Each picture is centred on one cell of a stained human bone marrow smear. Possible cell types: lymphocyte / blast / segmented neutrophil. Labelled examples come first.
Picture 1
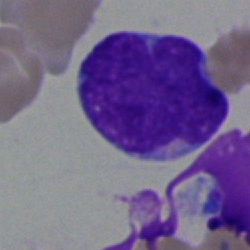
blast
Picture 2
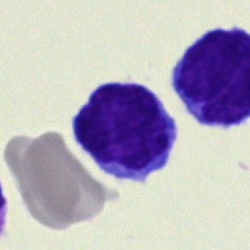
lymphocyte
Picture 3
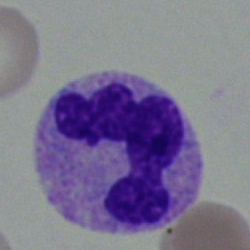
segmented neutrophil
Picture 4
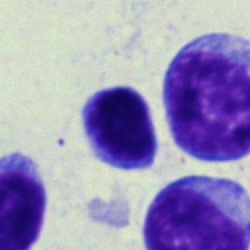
lymphocyte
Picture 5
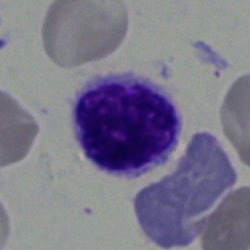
lymphocyte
